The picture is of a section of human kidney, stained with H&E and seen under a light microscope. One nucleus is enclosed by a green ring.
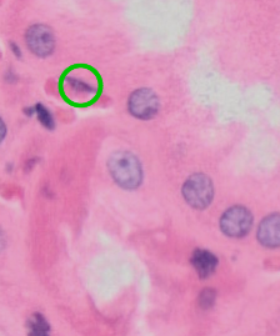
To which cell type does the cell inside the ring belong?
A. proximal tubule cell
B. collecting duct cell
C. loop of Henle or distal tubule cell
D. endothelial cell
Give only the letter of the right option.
D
